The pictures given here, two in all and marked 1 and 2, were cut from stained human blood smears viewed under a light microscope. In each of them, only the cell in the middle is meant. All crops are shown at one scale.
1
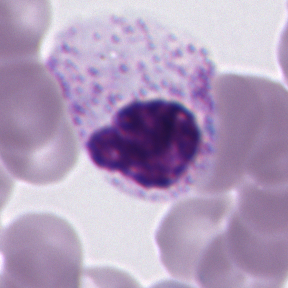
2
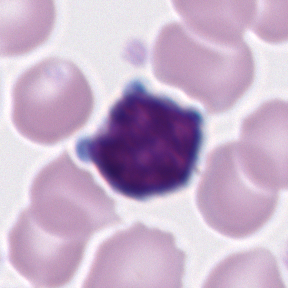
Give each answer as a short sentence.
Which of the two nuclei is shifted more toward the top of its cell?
It is the nucleus in crop 2 that lies further toward the top of its cell.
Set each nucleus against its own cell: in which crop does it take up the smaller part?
Of the two, the nucleus in crop 1 leaves more room for cytoplasm.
